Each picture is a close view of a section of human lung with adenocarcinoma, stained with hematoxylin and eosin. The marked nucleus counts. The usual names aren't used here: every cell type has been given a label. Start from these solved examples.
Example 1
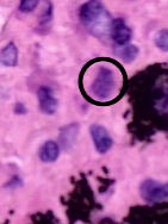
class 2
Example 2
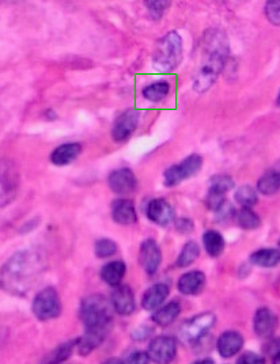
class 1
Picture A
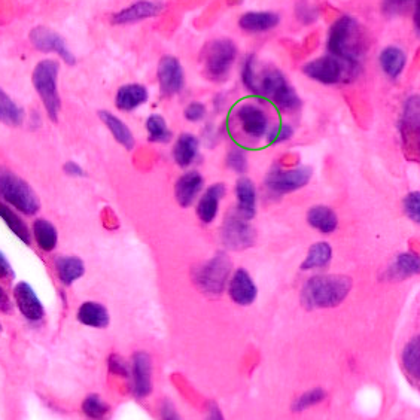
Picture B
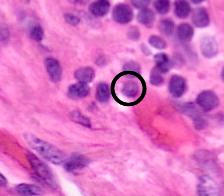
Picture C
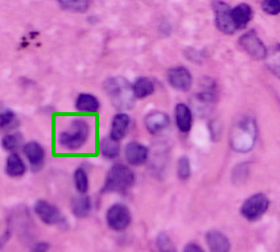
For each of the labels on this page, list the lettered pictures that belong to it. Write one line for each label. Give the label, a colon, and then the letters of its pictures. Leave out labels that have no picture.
class 2: A
class 1: B, C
